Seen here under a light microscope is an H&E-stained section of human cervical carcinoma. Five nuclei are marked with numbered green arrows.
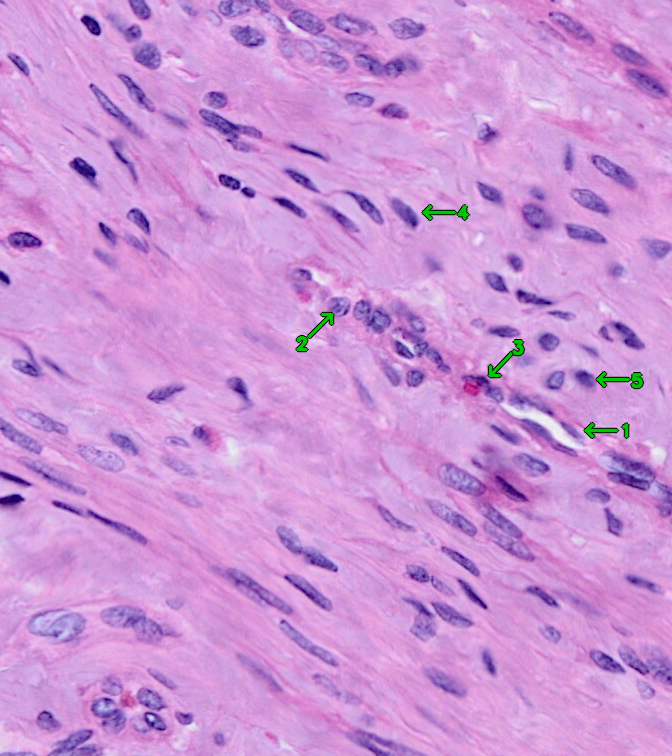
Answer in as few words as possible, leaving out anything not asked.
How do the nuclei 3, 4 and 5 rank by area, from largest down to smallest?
4, 5, 3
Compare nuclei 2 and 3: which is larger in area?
2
